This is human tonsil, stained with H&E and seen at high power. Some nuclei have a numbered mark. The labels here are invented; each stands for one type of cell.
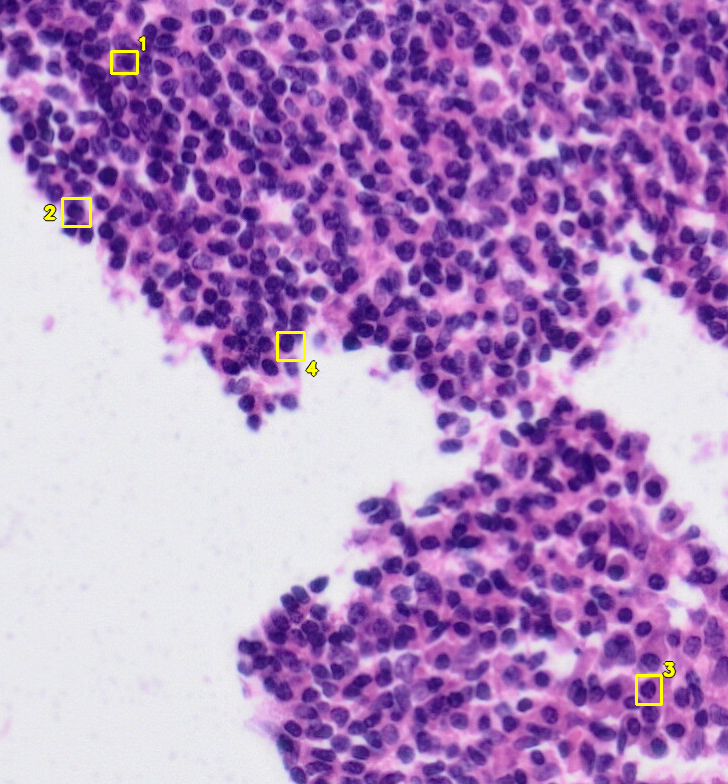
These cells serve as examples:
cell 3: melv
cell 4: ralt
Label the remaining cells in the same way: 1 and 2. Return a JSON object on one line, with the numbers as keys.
{"1": "ralt", "2": "ralt"}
